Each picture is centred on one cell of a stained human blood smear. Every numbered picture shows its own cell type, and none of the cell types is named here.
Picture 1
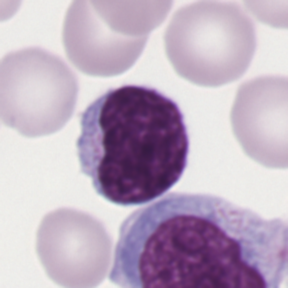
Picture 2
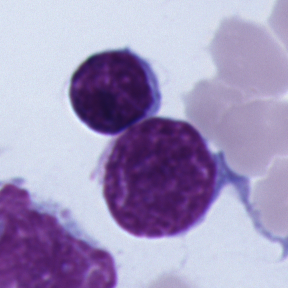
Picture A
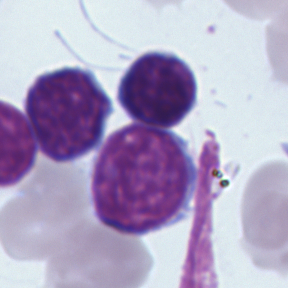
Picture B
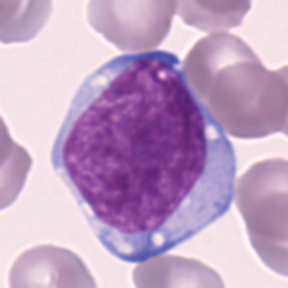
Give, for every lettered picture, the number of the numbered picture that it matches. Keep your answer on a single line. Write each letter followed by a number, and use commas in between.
A 2, B 2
